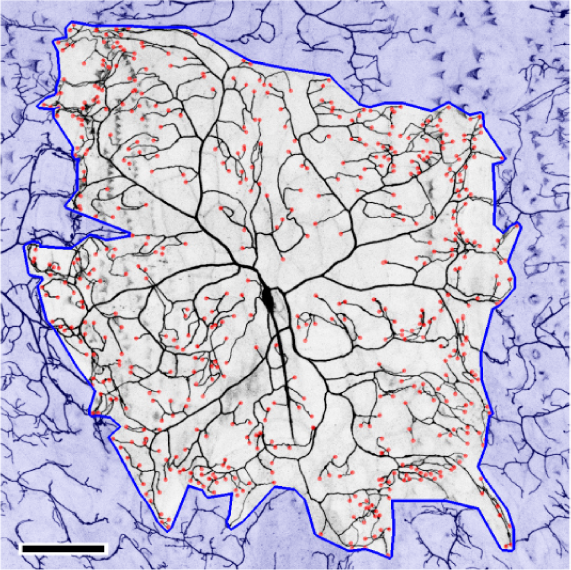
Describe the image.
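This image shows the dendritic arbor of a single sensory neuron spreading flat over the larval body wall. A dark cell body lies near the centre with a thick axon running down from it, and several thick primary dendrites radiate outward. These divide repeatedly into thinner and thinner branches that fill a broad, irregular field outlined in blue. Neighbouring branches rarely cross, so the arbor tiles its territory with open spaces between branches.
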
